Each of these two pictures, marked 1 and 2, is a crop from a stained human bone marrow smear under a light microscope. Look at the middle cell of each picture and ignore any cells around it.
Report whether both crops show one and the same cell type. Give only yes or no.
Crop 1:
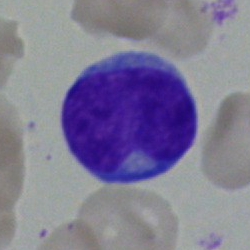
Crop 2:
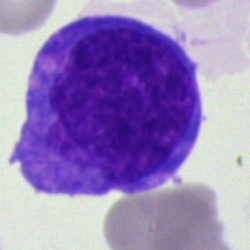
yes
